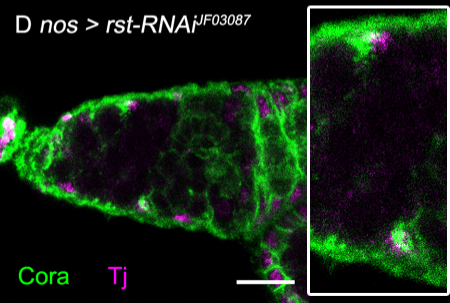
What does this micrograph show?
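This germarium shows large, dark, rounded germline cells in its interior, with small somatic cells bearing magenta nuclei at its margin and green membranes around the outside. In the enlarged middle region of the inset, little green reaches in between the germline cells: the thin membrane extensions that would wrap them are scarce, and the interior is mostly dark.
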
